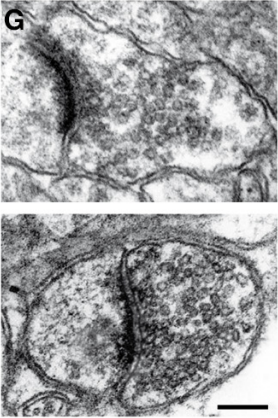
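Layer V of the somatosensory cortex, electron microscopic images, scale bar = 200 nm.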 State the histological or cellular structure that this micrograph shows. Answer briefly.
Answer: Asymmetric, putative excitatory synapses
